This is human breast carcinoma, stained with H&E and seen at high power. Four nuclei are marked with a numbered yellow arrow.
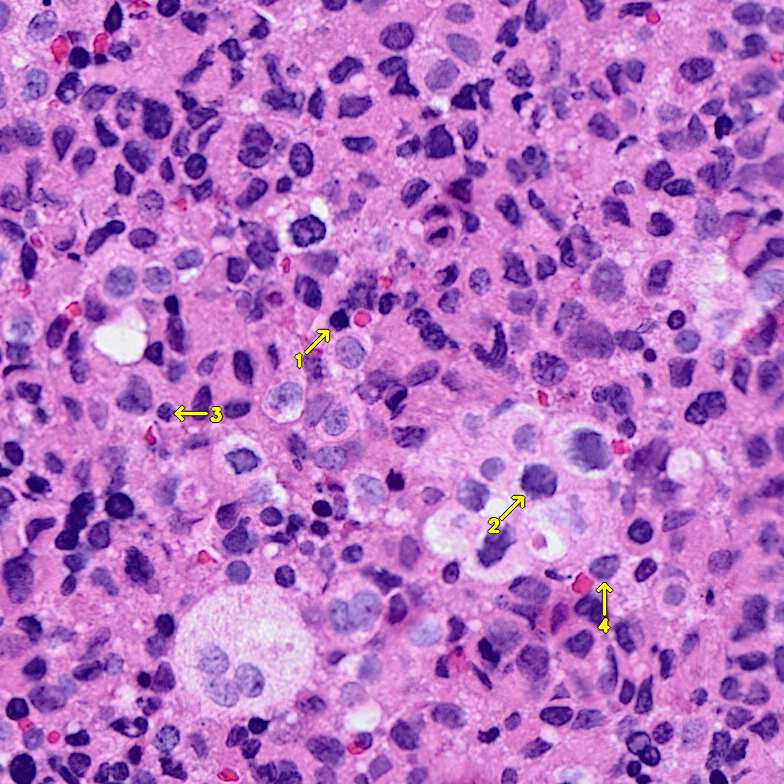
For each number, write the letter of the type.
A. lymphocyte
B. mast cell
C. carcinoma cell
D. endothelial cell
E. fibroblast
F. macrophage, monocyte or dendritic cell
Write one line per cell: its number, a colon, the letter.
1: C
2: C
3: A
4: C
